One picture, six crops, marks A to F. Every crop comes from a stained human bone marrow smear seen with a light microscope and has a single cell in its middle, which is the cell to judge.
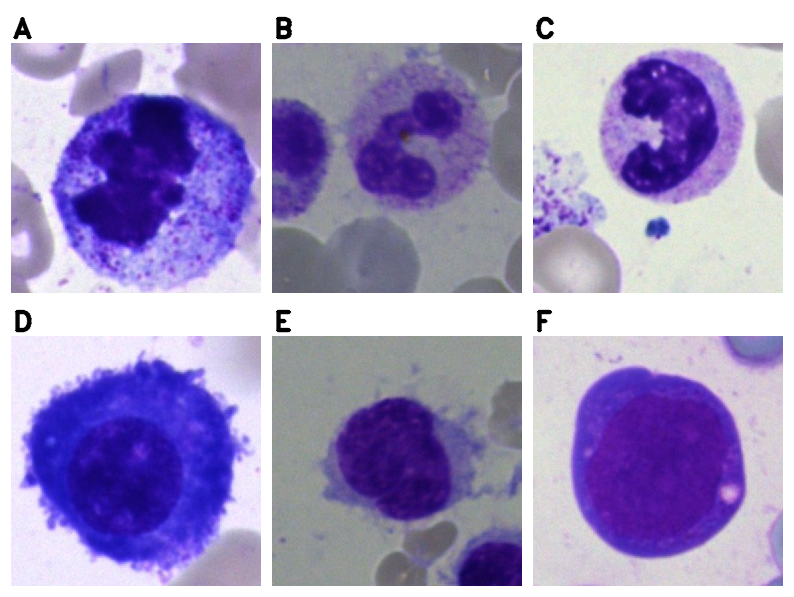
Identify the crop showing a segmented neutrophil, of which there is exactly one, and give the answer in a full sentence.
The cell identified as a segmented neutrophil is the one in crop B.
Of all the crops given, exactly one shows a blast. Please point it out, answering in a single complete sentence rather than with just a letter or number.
Crop F is the one to choose: it shows a blast.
